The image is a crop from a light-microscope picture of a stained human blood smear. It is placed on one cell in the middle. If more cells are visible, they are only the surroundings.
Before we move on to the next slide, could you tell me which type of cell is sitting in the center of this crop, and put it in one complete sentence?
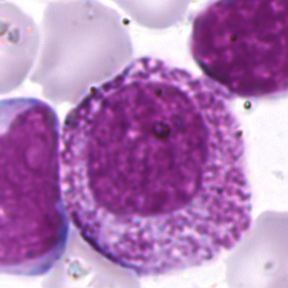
Standing at the centre of this crop is a myelocyte.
